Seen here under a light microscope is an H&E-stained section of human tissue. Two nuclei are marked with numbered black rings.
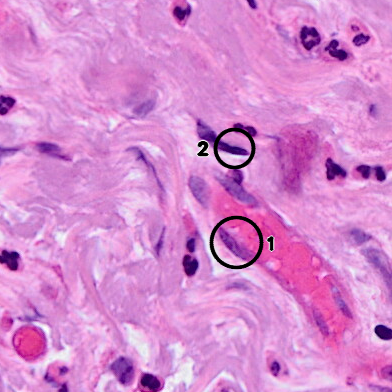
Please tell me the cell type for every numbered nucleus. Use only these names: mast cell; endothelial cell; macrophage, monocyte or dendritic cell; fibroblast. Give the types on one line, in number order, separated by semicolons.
endothelial cell; fibroblast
